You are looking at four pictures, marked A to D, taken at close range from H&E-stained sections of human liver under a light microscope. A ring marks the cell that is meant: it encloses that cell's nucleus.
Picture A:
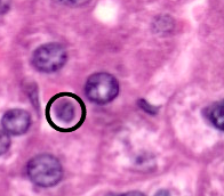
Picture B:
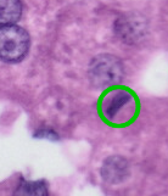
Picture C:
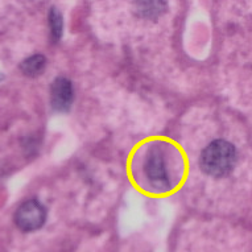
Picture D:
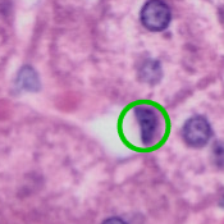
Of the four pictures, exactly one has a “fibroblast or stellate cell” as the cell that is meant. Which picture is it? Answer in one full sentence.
Picture B shows the “fibroblast or stellate cell”.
